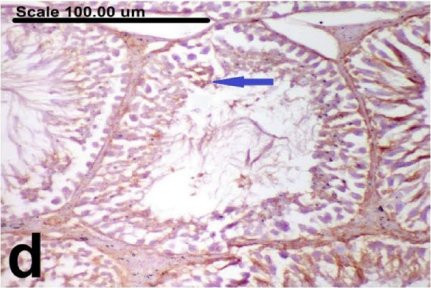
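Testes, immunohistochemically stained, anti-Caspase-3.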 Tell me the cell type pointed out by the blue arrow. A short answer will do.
Spermatid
